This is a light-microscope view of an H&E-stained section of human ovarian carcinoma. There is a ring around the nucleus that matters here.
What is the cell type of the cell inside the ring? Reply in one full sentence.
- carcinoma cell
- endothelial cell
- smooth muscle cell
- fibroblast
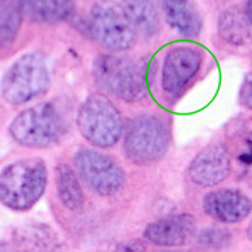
Right, so the cell inside the ring is a carcinoma cell, to answer that.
